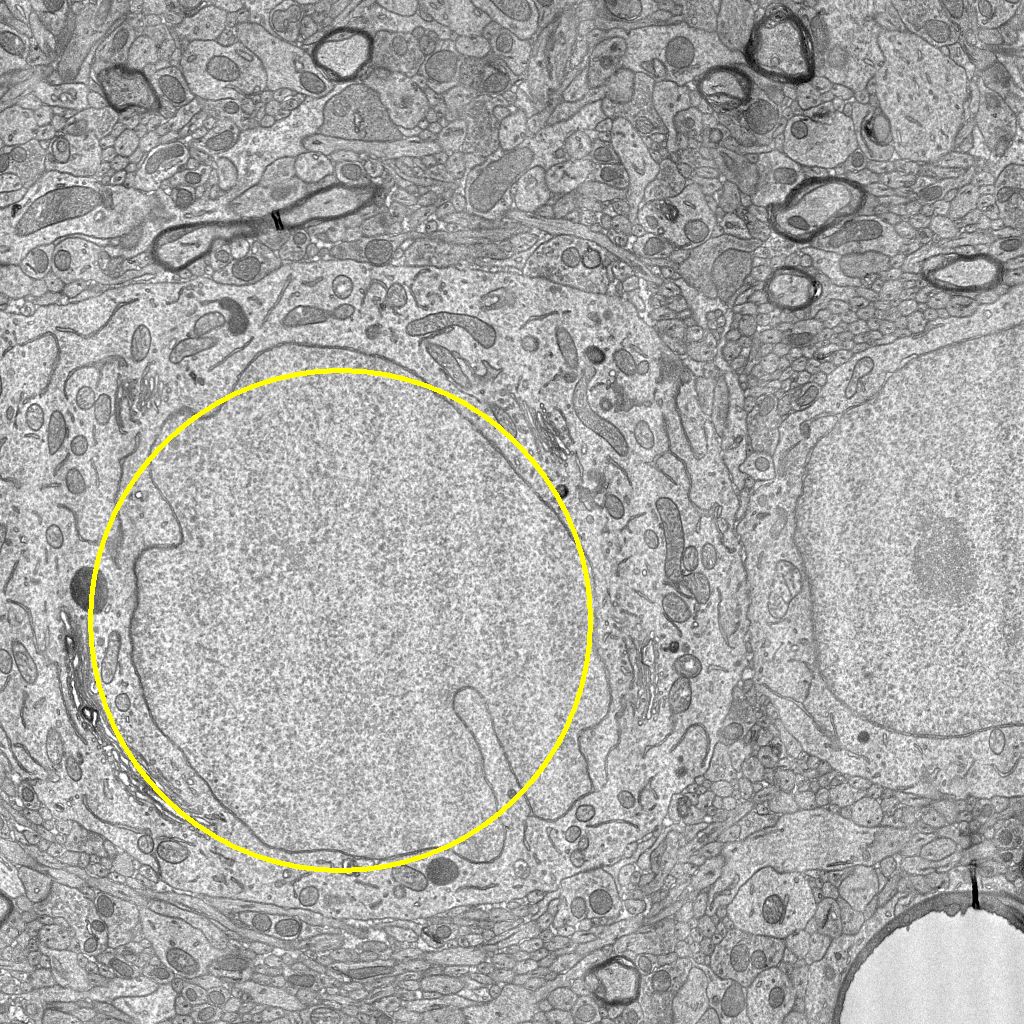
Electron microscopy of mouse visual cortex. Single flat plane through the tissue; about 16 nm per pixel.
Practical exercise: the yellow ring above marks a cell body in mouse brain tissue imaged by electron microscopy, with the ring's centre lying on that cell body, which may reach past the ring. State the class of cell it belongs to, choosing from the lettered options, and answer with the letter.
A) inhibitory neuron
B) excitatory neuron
A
